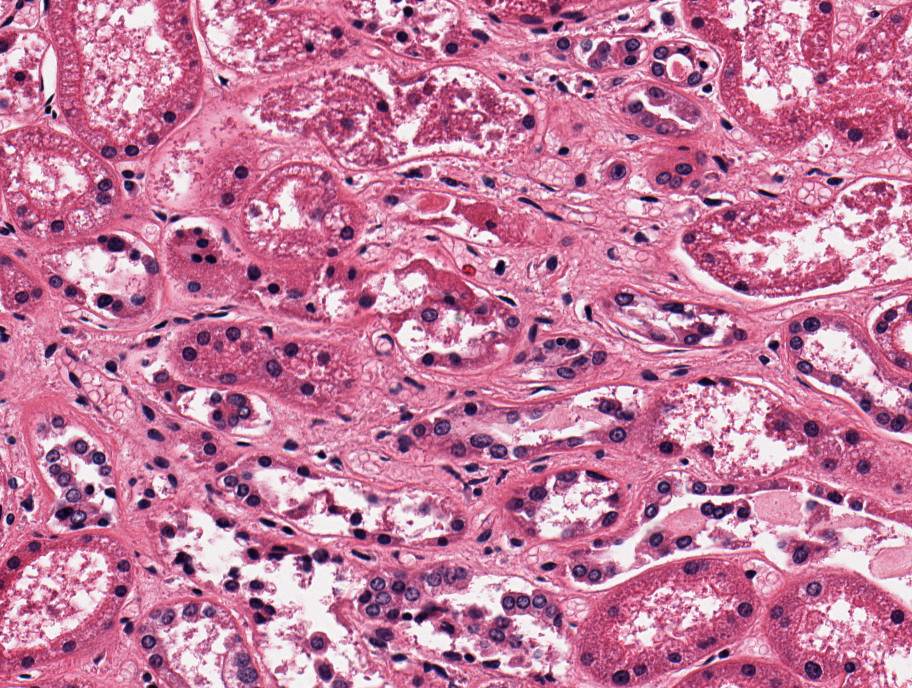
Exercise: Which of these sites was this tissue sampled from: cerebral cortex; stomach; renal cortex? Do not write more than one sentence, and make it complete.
The slide carries a tissue sample from the renal cortex.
